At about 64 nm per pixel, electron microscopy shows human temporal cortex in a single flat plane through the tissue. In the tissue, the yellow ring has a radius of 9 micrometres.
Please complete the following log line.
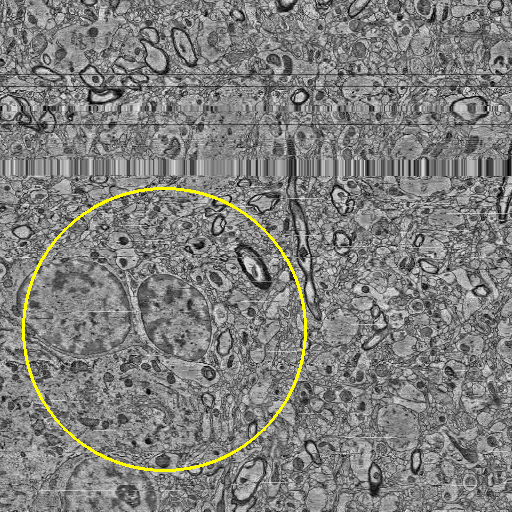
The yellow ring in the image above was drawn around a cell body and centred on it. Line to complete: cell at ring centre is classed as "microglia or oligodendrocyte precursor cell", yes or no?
yes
